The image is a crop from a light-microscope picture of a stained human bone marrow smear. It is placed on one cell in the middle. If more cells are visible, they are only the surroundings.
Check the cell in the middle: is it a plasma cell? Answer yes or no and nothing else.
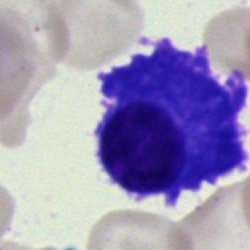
yes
